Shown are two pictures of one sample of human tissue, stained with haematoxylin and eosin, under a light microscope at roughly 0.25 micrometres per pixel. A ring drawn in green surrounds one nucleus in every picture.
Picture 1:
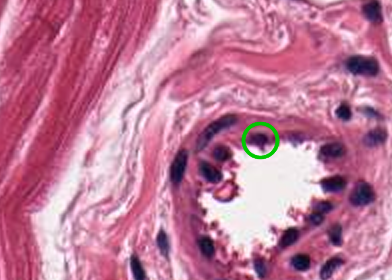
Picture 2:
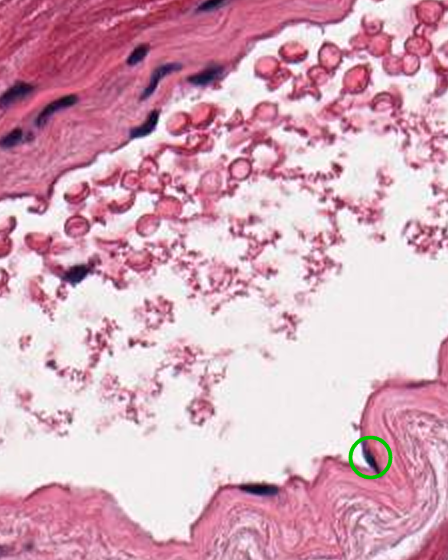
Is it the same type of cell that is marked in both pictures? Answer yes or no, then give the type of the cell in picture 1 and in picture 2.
Yes, both are endothelial cells.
